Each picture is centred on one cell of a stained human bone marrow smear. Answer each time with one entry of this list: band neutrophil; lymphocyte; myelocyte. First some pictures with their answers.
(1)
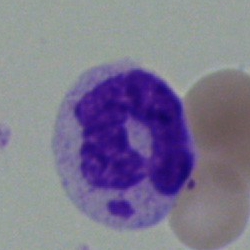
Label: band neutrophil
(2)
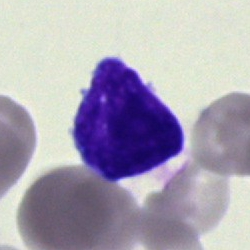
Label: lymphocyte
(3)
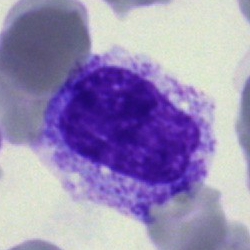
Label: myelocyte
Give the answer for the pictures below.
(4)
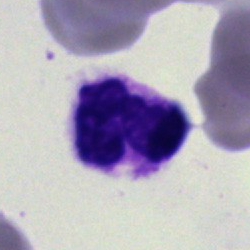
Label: band neutrophil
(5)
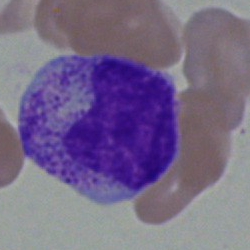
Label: myelocyte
